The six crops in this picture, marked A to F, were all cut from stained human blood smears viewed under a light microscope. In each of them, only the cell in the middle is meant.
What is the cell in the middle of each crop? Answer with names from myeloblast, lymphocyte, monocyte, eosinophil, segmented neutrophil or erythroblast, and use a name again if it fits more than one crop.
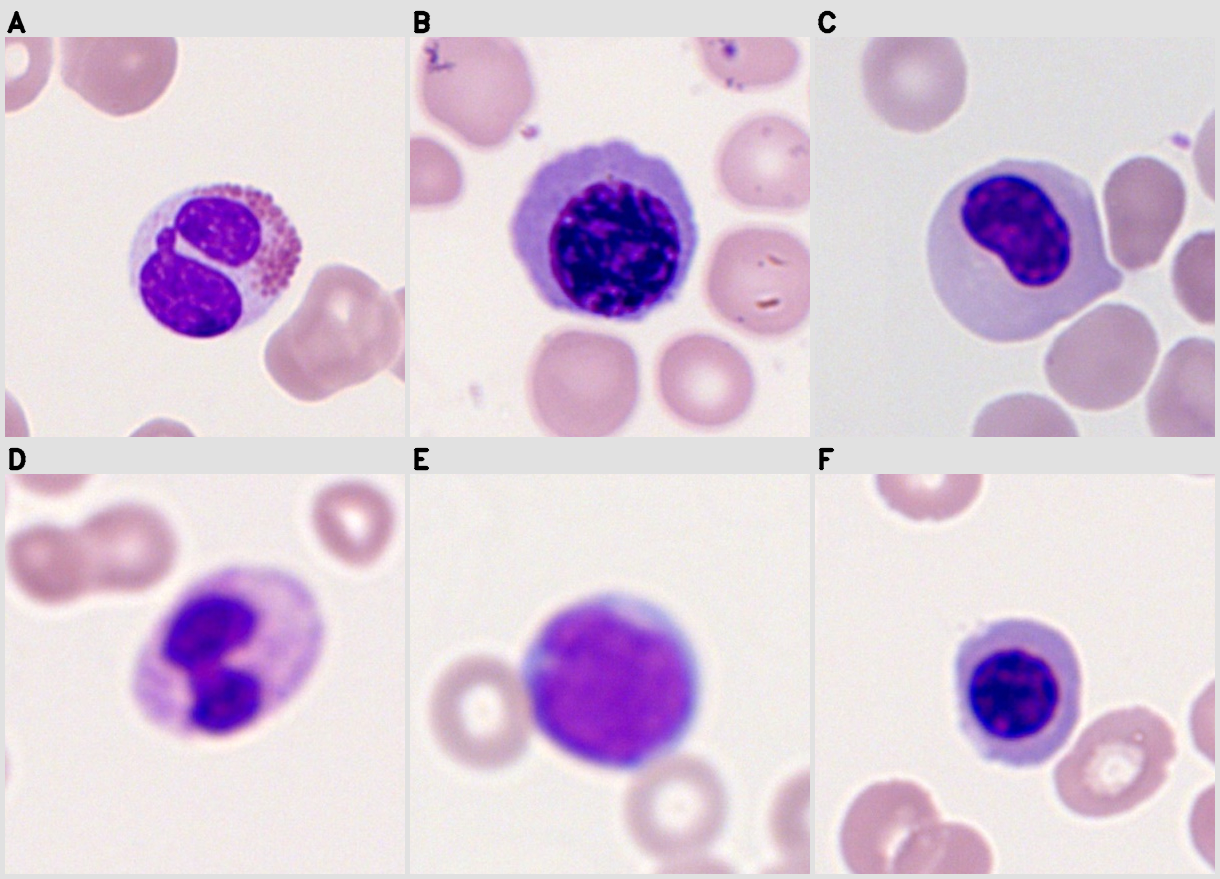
A: eosinophil
B: erythroblast
C: erythroblast
D: segmented neutrophil
E: myeloblast
F: erythroblast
